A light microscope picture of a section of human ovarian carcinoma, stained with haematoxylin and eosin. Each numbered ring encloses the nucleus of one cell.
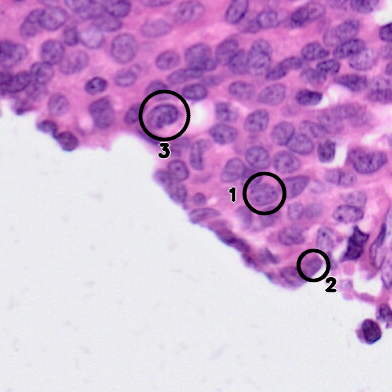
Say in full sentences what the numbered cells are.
Cells 1 and 2 are carcinoma cells. Cell 3 is a macrophage or monocyte.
